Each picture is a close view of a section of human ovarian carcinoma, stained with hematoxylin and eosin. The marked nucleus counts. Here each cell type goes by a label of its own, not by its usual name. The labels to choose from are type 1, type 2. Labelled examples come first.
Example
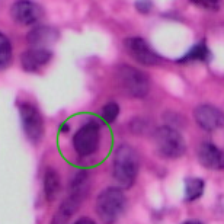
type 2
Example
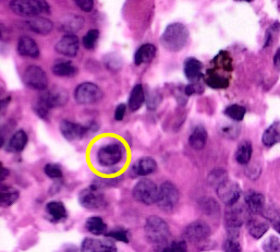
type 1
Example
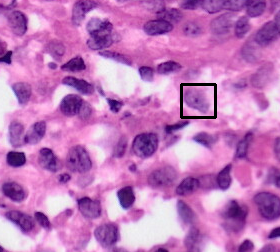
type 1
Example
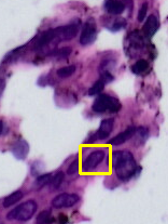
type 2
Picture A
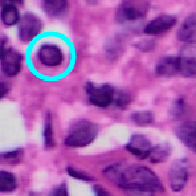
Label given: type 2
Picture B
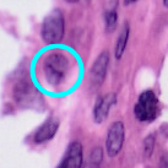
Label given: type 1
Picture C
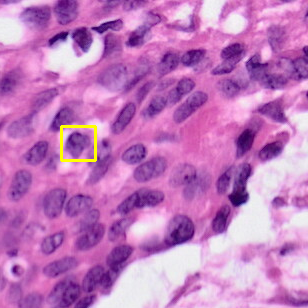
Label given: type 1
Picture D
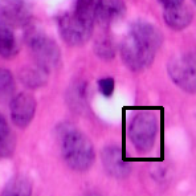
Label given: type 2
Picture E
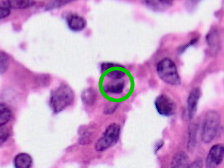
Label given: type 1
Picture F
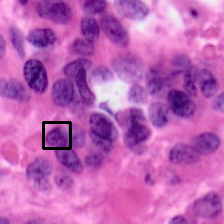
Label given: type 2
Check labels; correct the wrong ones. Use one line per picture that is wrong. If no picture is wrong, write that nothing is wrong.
None of the labels needs changing.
